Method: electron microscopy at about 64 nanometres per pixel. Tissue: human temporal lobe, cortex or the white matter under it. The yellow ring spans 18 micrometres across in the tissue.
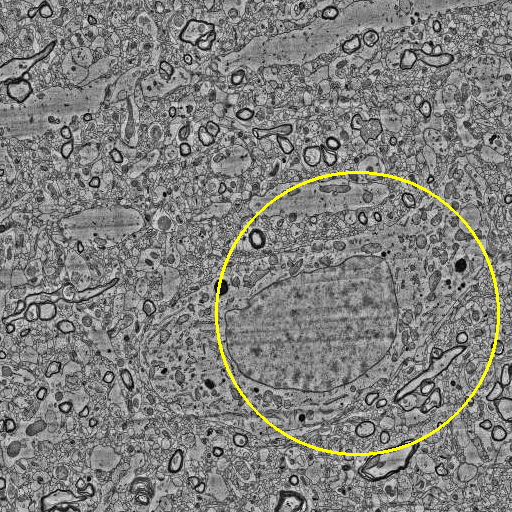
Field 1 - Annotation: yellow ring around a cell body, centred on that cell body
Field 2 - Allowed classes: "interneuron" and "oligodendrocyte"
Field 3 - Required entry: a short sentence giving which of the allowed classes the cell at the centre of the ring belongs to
The centred cell is an interneuron.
